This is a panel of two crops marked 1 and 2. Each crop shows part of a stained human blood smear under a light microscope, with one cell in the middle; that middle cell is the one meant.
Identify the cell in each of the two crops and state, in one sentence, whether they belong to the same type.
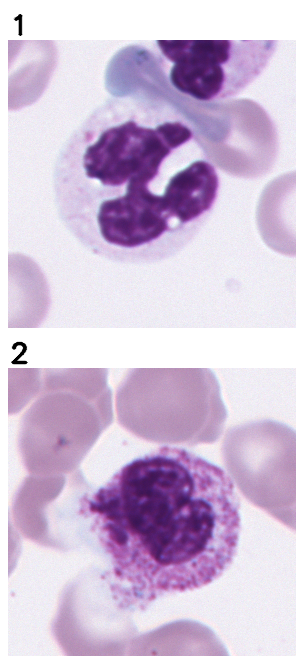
Yes, both crops do show neutrophils in the middle.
